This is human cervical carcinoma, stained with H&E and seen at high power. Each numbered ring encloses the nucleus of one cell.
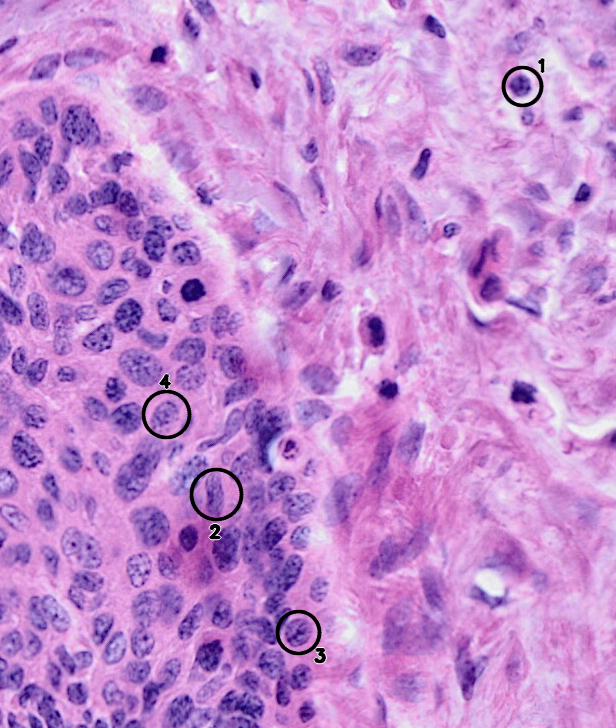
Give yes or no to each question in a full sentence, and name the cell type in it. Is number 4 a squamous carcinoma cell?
Yes, the cell that bears number 4 is a squamous carcinoma cell.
